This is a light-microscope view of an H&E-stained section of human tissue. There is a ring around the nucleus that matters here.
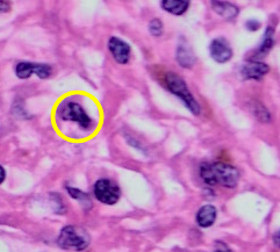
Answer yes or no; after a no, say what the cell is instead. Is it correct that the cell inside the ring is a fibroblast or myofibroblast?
No, it is a plasma cell.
